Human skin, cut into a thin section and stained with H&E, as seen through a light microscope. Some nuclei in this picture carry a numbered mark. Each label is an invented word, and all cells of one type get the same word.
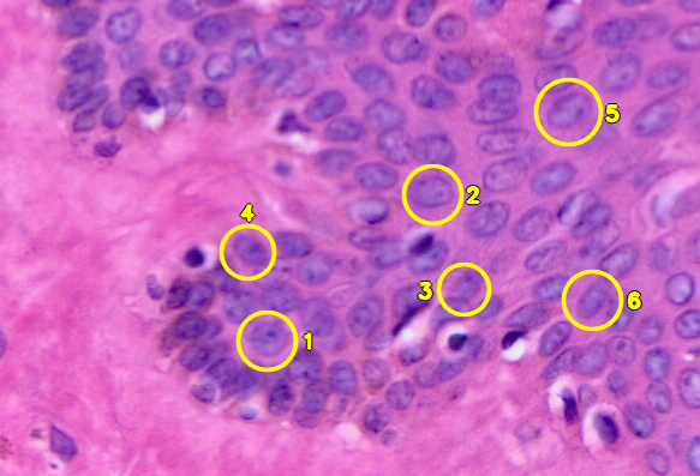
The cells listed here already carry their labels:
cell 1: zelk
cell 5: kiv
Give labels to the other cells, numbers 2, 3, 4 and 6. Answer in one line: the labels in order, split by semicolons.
kiv; zelk; zelk; kiv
